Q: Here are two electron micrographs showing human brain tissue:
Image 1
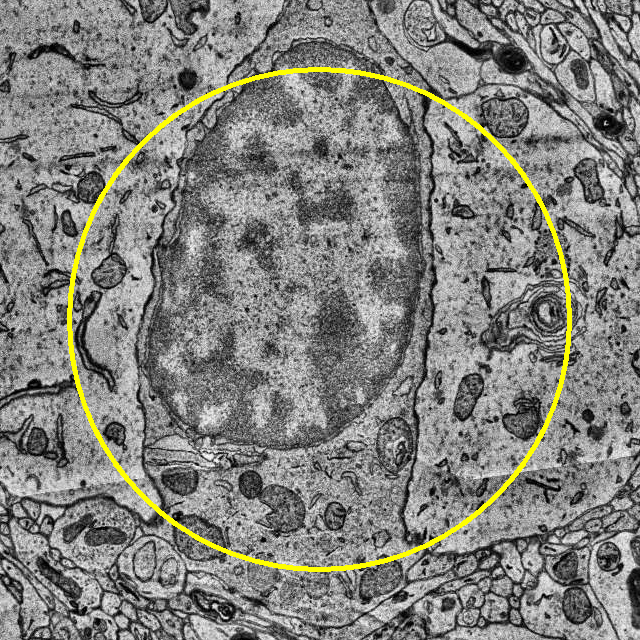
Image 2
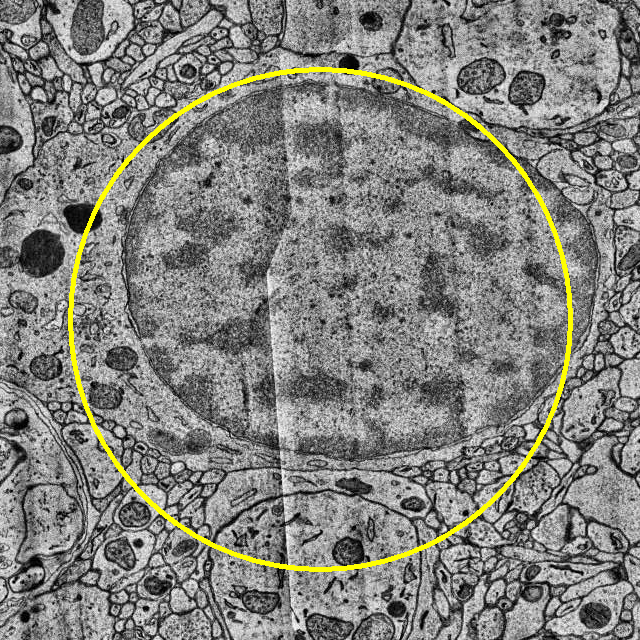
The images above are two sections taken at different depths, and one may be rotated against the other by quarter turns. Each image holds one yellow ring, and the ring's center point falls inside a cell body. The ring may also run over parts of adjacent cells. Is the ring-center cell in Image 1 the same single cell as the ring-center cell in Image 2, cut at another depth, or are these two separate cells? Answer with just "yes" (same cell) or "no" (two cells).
yes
